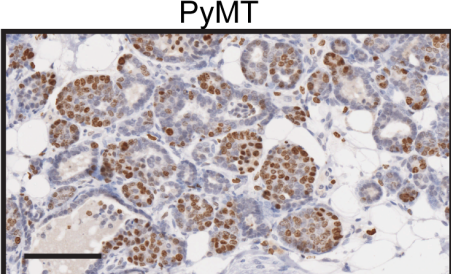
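Mammary tumor tissue with many closely packed rounded acini and small ducts of epithelial cells, set among large empty adipocytes and thin bands of stroma. Some lumina are open and hold pale pink-grey secretion. Stroma between acini holds scattered spindle-shaped cells with blue nuclei. The epithelial nests stay rounded and circumscribed, with no single cells spreading into the surrounding fat.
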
